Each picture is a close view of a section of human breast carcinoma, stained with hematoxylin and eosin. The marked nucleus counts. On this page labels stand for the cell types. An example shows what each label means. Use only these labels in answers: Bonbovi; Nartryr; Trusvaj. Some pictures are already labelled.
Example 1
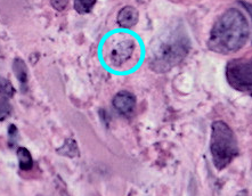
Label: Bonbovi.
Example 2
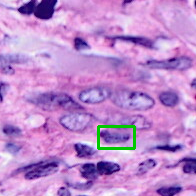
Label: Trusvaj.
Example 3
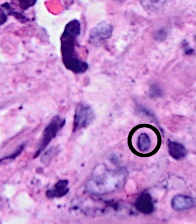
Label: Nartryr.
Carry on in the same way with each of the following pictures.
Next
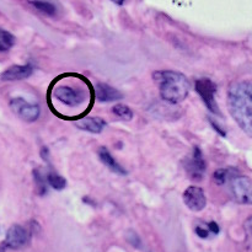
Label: Nartryr.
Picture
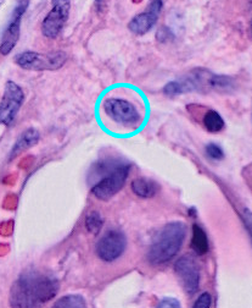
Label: Nartryr.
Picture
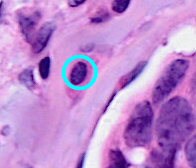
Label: Nartryr.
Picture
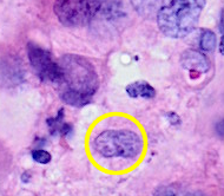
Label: Bonbovi.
